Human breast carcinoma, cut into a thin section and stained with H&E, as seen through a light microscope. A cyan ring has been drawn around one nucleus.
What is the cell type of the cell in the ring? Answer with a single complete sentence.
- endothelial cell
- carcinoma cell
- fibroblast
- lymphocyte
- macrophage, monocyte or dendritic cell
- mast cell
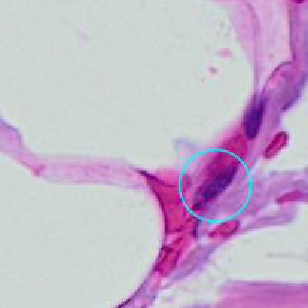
In short, the cell in the ring on this section is an endothelial cell.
